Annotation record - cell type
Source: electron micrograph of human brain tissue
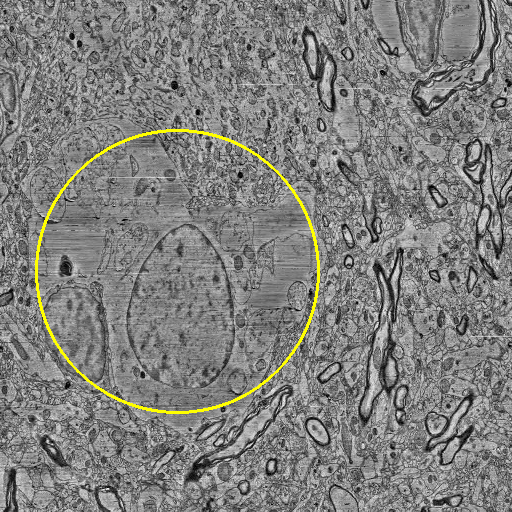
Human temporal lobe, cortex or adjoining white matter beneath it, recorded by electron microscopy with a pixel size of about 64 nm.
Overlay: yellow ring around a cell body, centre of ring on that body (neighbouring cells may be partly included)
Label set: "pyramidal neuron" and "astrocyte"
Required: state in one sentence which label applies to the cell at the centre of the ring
This cell should be labelled as an astrocyte.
